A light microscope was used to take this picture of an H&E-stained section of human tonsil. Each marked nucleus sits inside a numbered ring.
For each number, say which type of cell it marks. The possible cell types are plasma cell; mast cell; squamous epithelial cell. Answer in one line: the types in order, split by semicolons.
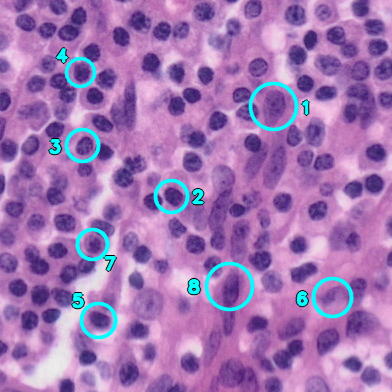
squamous epithelial cell; plasma cell; plasma cell; plasma cell; plasma cell; squamous epithelial cell; plasma cell; squamous epithelial cell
